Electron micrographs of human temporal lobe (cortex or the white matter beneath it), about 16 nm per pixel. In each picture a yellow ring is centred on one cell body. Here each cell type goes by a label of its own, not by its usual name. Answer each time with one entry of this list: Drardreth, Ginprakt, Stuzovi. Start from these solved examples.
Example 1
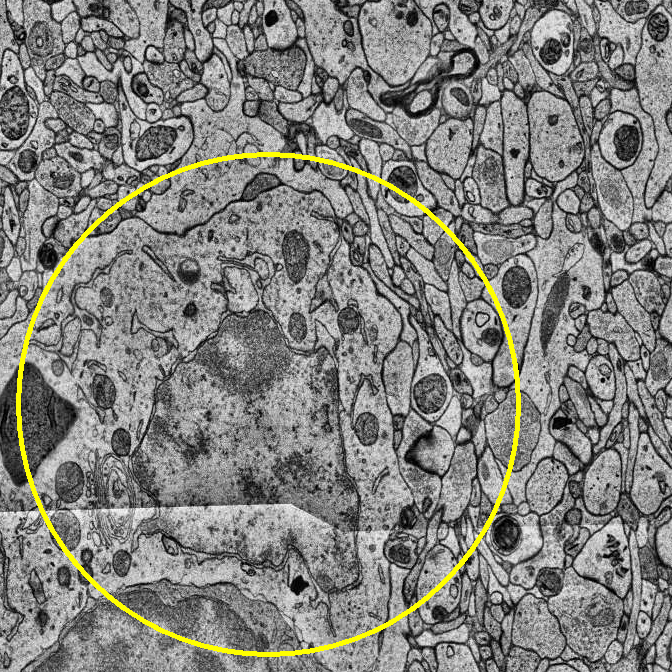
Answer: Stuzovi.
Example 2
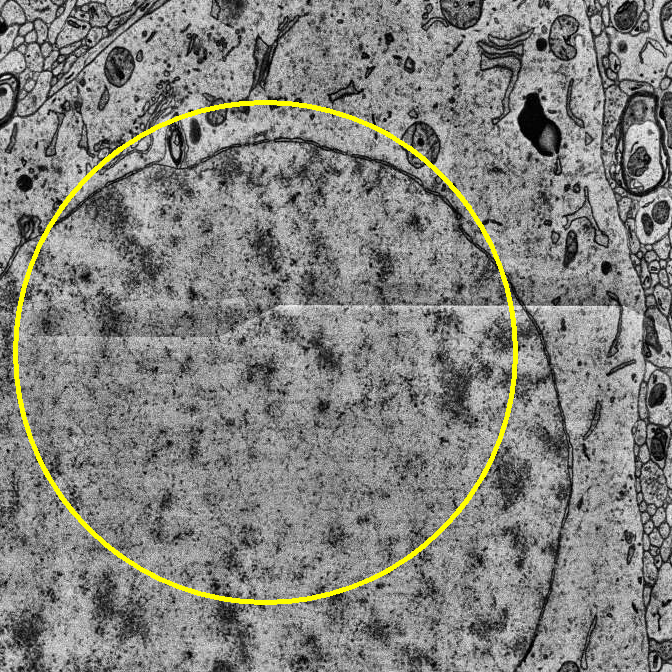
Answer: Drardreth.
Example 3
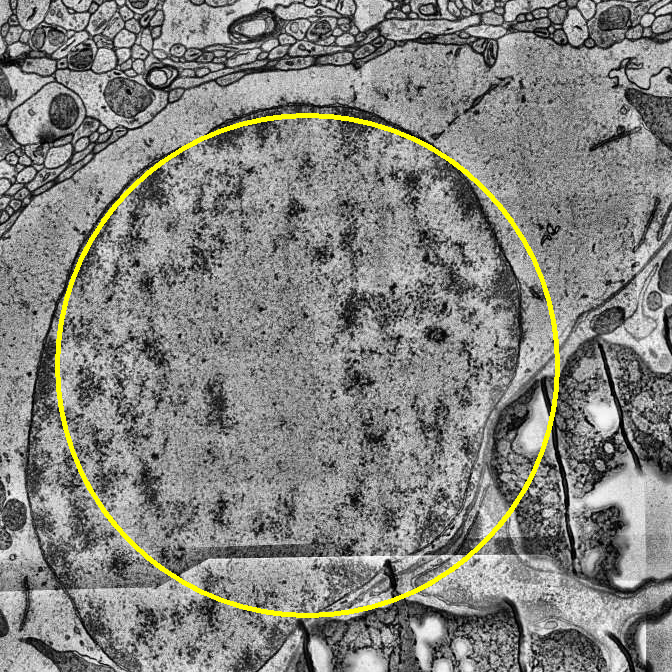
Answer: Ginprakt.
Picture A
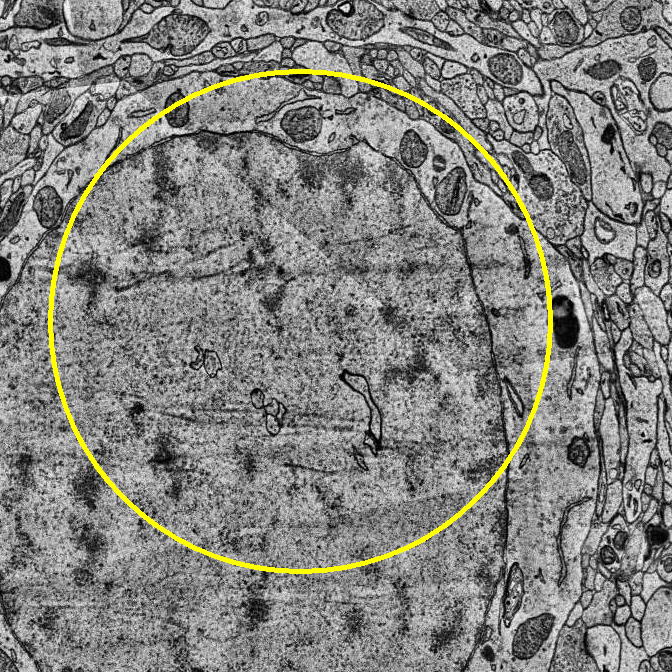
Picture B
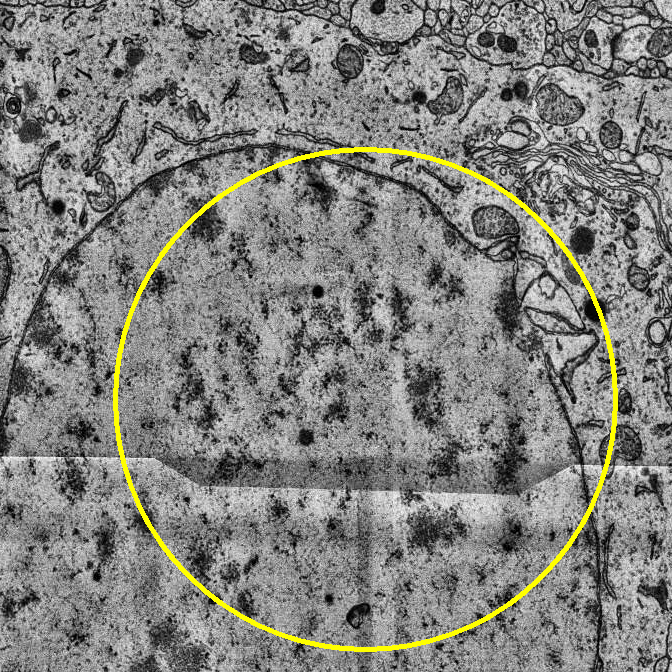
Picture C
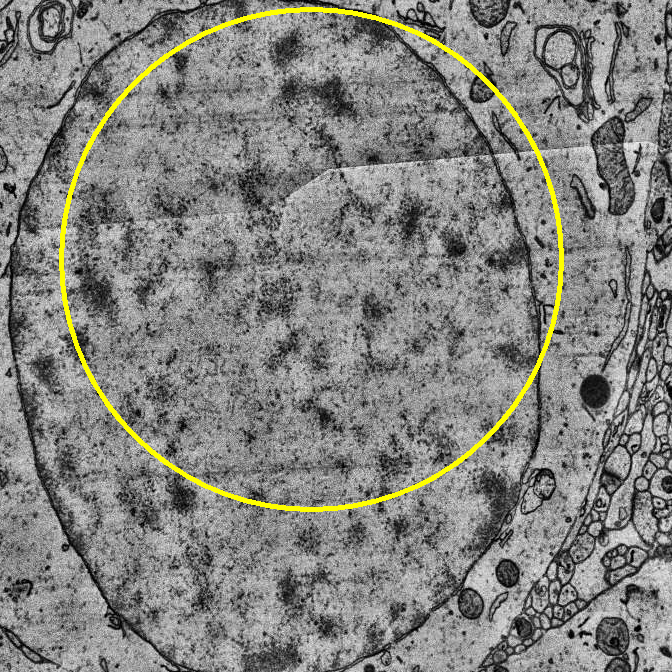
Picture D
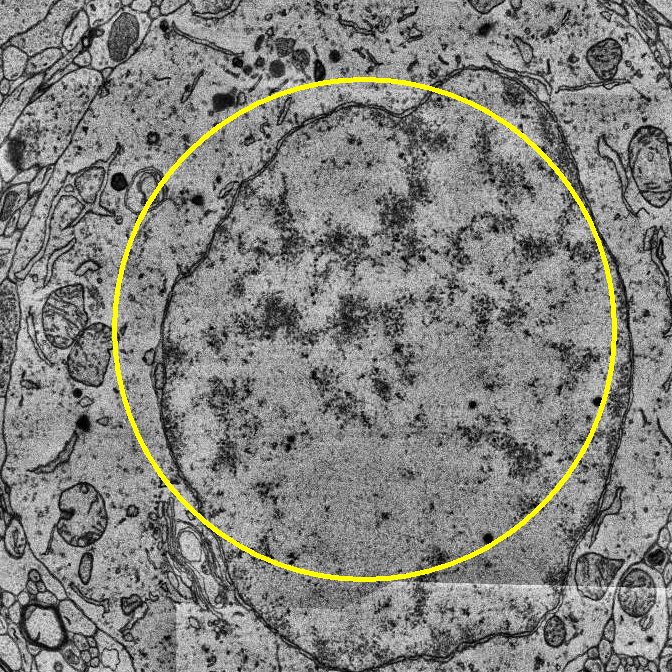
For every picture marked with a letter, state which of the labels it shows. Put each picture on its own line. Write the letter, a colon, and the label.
A: Drardreth.
B: Drardreth.
C: Drardreth.
D: Drardreth.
